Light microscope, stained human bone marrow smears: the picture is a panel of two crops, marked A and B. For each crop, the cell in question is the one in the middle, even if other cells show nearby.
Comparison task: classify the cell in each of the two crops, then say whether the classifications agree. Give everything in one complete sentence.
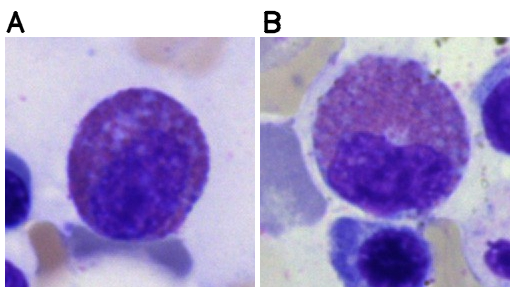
Yes, the central cells in both of the crops are eosinophils.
